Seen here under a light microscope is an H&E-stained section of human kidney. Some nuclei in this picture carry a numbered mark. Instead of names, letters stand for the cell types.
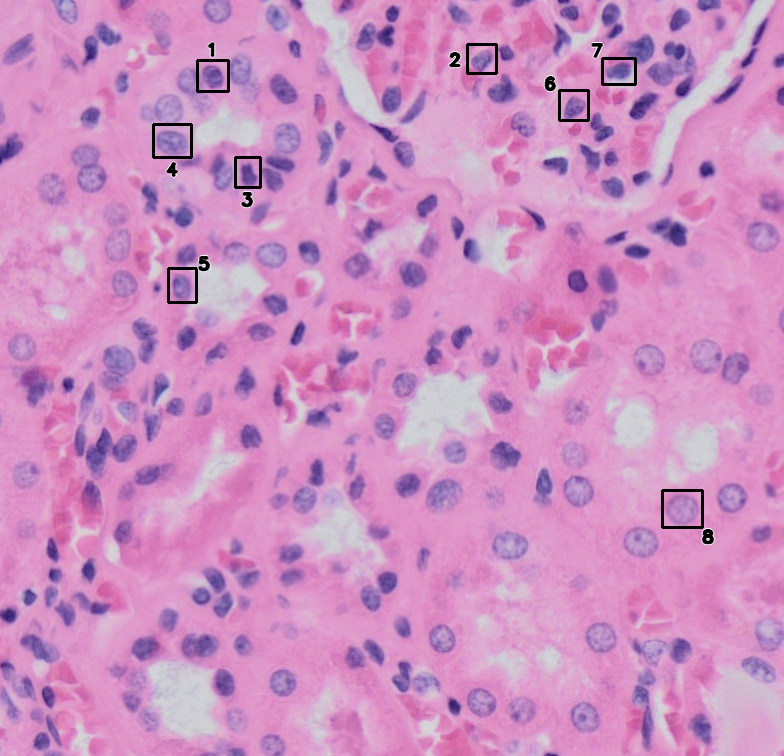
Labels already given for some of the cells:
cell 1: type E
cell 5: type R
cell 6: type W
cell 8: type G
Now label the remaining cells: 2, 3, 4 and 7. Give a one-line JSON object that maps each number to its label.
{"2": "type W", "3": "type E", "4": "type E", "7": "type W"}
